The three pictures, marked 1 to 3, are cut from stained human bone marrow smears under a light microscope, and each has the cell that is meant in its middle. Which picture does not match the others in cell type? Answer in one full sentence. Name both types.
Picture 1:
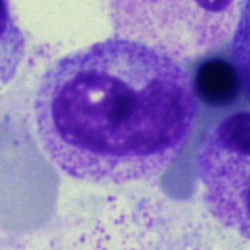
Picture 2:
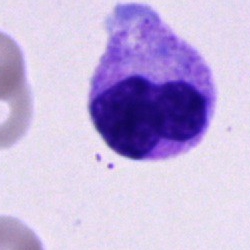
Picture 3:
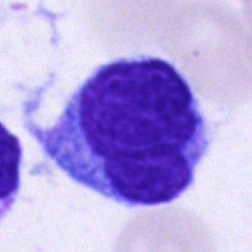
Picture 3 is the odd one out: it shows a monocyte, while the others show metamyelocytes.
